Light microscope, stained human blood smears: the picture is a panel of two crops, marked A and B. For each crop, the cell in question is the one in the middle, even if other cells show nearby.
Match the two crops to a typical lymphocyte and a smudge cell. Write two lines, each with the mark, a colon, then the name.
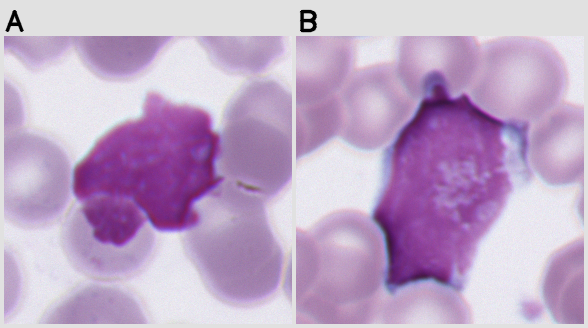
A: smudge cell
B: typical lymphocyte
